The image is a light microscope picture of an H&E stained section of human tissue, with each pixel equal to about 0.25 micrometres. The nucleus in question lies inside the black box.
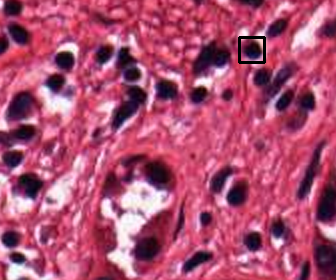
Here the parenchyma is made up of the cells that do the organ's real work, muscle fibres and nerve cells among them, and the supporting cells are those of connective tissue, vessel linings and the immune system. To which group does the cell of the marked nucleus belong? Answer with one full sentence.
It is in a supporting cell that the marked nucleus lies.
